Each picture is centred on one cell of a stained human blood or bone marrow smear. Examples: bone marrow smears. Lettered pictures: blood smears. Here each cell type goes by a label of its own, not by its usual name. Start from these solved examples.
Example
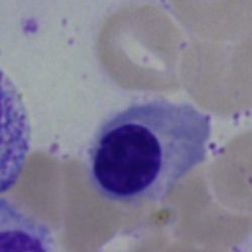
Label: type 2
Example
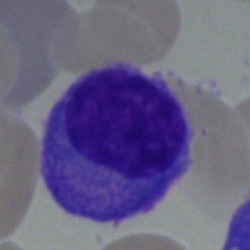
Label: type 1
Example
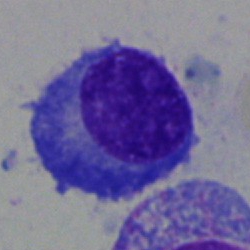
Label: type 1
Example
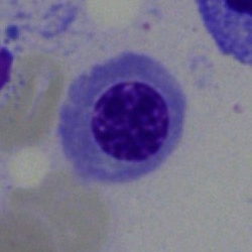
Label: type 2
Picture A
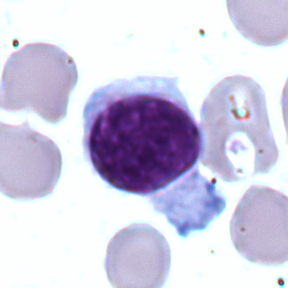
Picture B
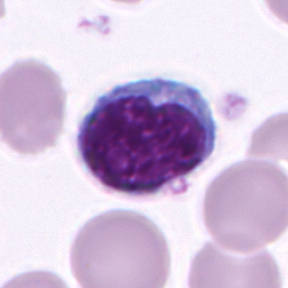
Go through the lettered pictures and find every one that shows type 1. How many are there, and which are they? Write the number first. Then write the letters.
Count: 2 (A, B)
